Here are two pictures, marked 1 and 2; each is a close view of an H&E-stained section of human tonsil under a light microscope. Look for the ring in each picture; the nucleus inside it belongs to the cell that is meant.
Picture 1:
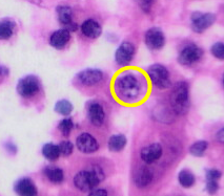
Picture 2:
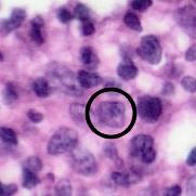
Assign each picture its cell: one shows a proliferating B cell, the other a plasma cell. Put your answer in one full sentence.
Picture 1 shows a plasma cell and picture 2 shows a proliferating B cell.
